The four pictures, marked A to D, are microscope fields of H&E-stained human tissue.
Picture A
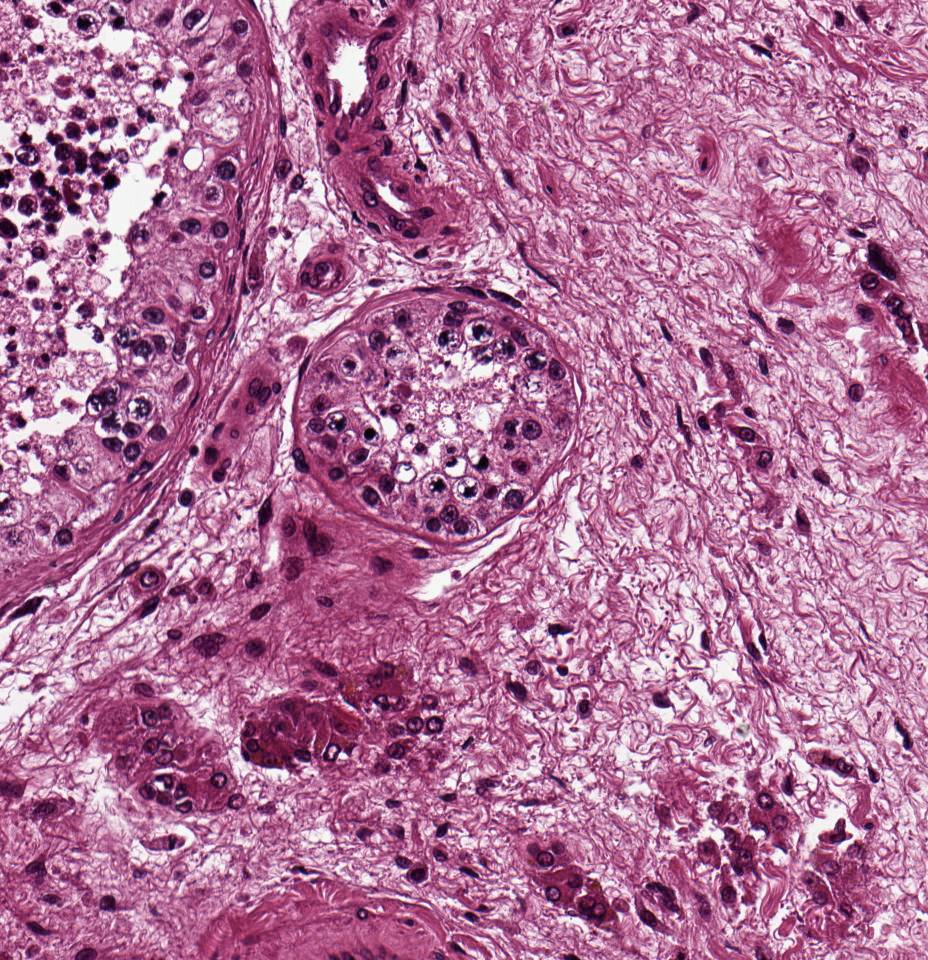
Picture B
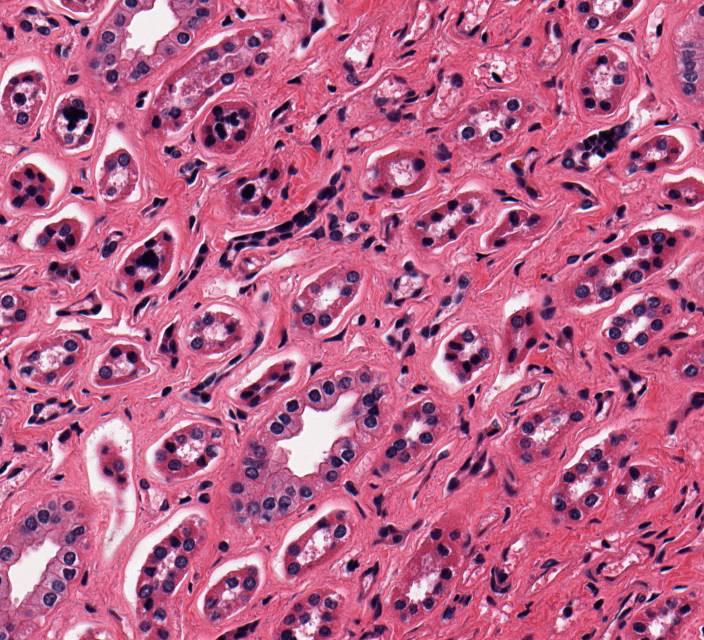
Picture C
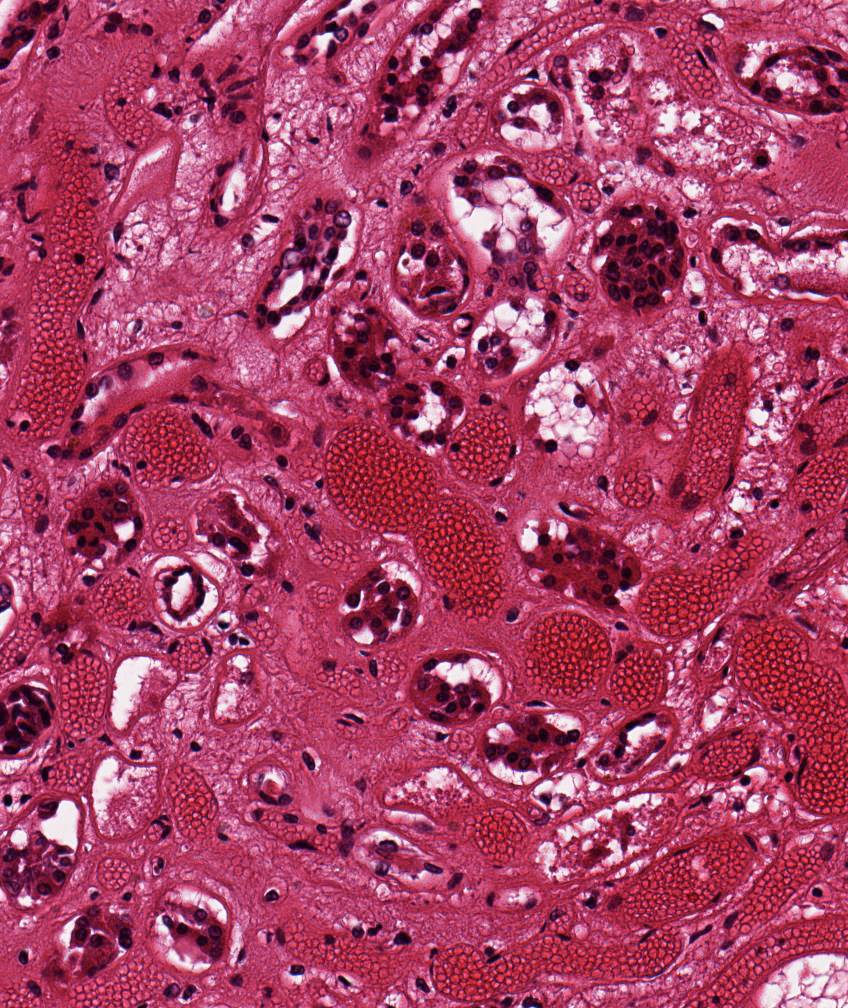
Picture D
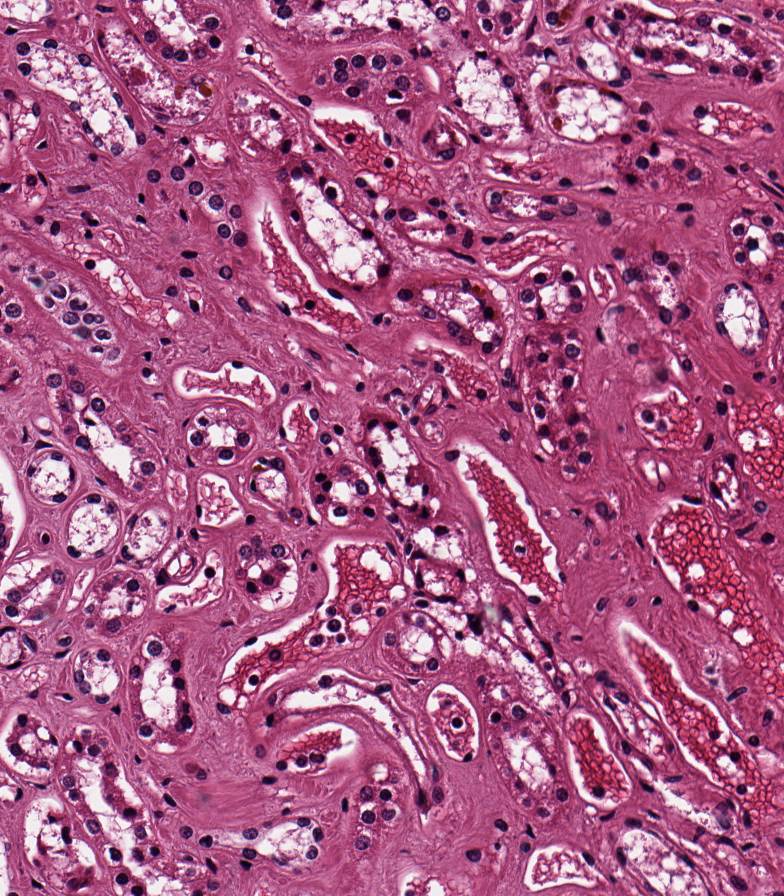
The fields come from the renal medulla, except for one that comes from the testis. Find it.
A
